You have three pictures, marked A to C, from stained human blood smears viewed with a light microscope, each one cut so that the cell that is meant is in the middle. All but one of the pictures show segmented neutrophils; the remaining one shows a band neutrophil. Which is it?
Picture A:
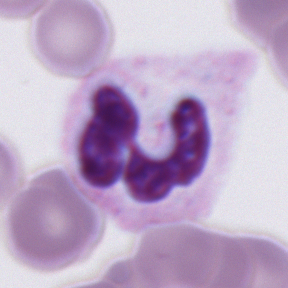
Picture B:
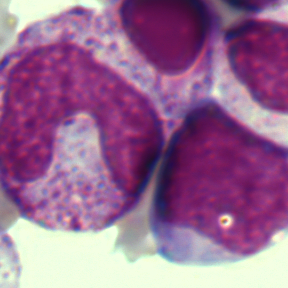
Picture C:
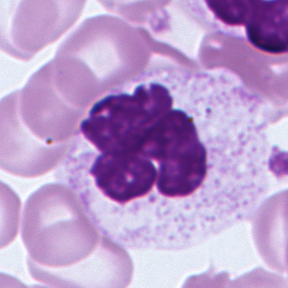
B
